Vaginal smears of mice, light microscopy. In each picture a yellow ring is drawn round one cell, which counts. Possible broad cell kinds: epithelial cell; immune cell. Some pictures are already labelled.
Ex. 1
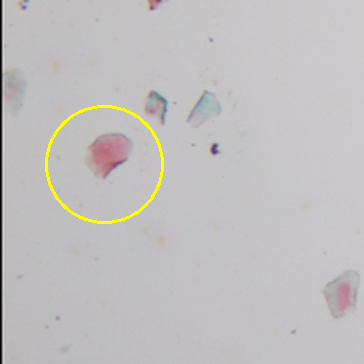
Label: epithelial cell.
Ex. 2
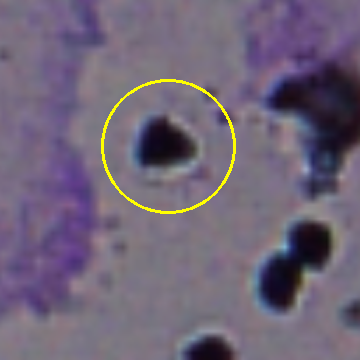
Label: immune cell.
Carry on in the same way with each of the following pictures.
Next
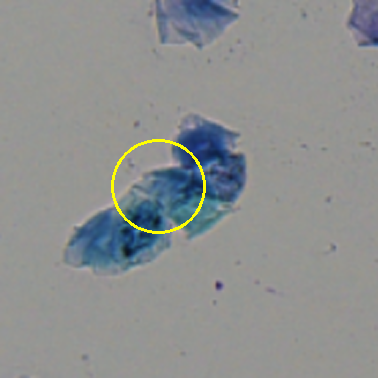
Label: epithelial cell.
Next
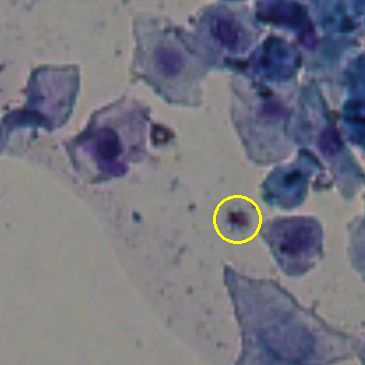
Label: immune cell.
